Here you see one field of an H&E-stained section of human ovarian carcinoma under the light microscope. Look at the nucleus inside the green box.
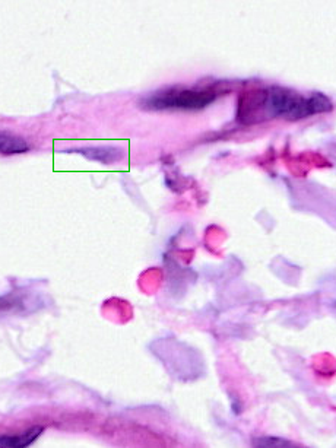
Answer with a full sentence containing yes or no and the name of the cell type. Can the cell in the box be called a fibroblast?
No, the cell in the box is not to be called a fibroblast; it is an endothelial cell.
